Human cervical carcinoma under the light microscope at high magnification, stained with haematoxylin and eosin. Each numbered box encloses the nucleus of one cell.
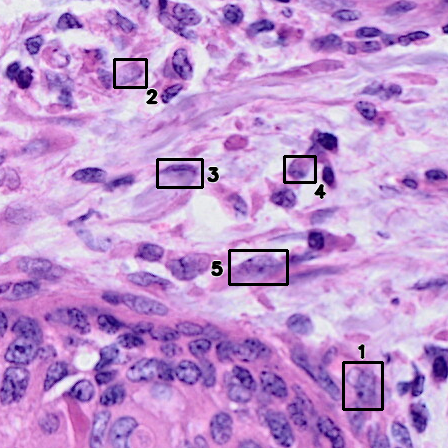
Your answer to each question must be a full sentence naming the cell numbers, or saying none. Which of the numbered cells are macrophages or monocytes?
Cell 4 is a macrophage or monocyte, while all remaining marked cells are of other types.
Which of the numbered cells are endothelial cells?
Just one of the numbered cells is an endothelial cell, namely number 1.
